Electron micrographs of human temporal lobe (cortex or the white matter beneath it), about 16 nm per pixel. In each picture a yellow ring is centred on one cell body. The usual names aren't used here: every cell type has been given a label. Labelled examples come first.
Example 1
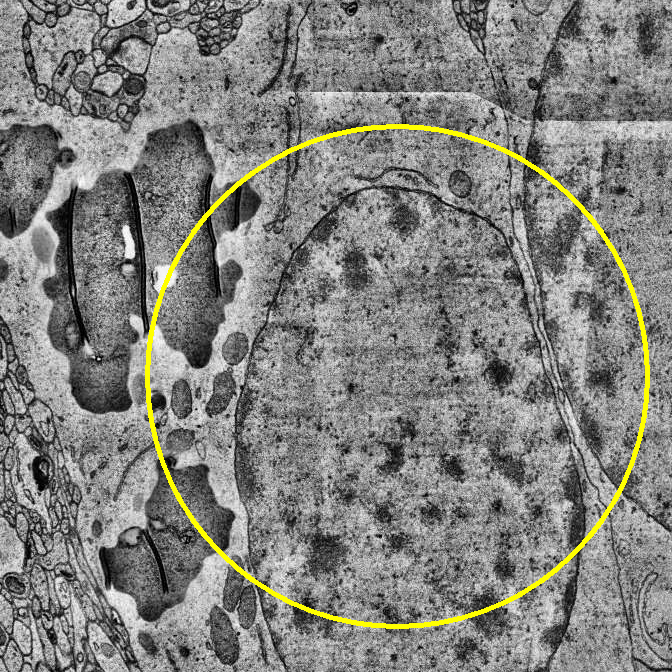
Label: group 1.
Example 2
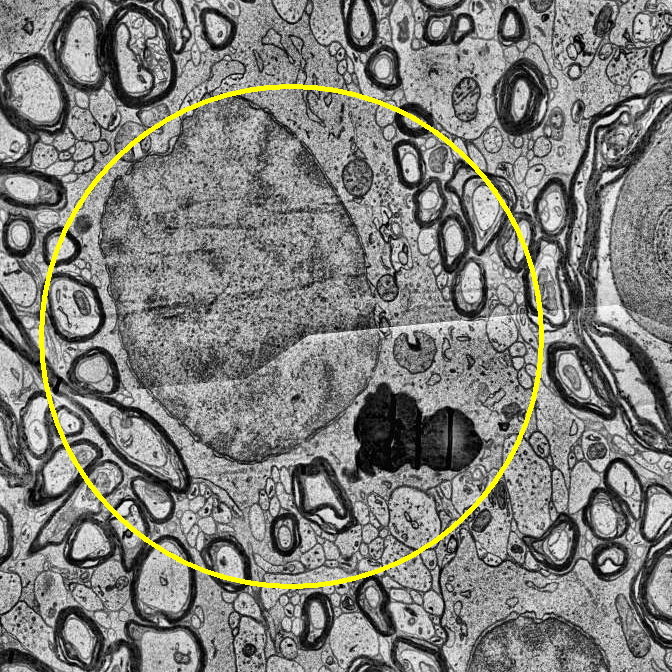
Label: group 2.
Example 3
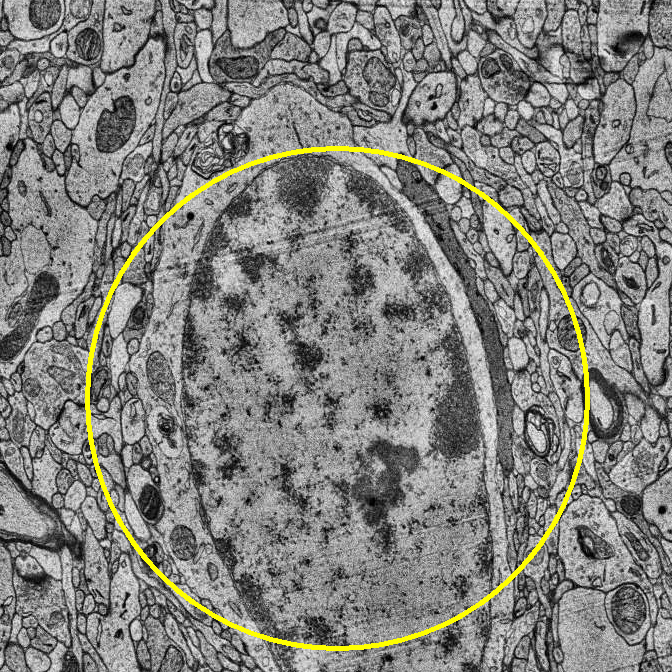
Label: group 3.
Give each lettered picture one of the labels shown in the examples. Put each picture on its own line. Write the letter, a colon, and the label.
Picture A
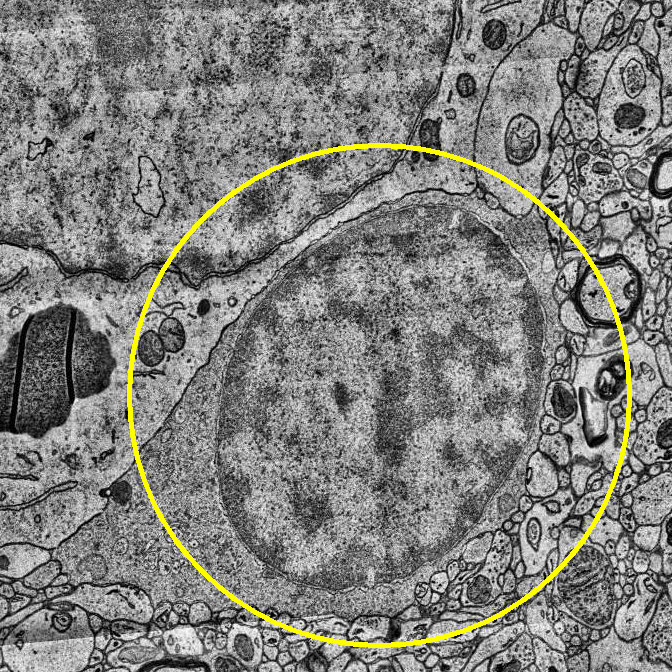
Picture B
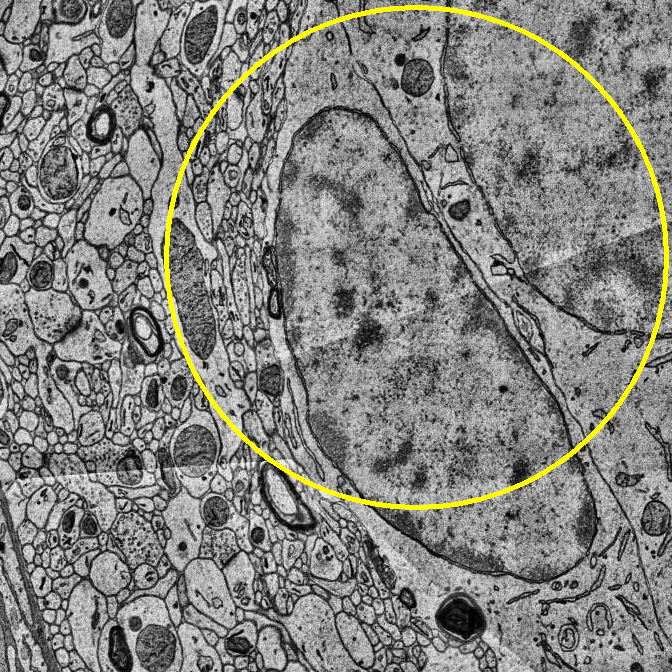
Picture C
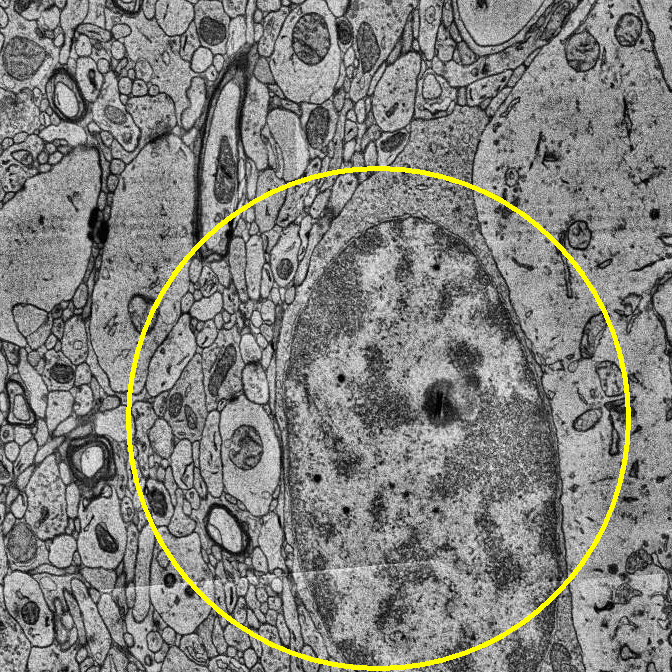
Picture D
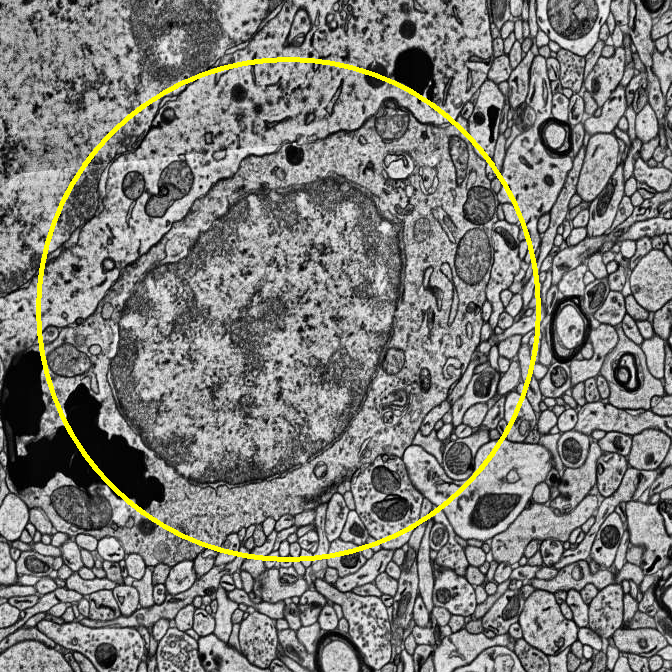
A: group 2.
B: group 3.
C: group 2.
D: group 2.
